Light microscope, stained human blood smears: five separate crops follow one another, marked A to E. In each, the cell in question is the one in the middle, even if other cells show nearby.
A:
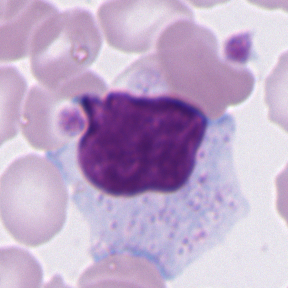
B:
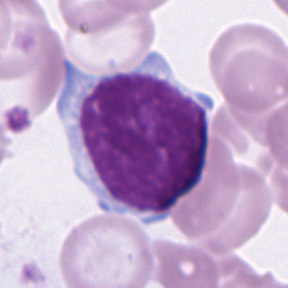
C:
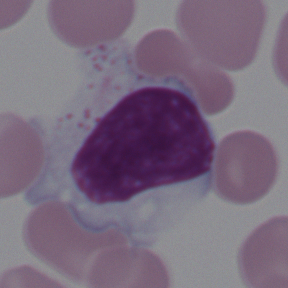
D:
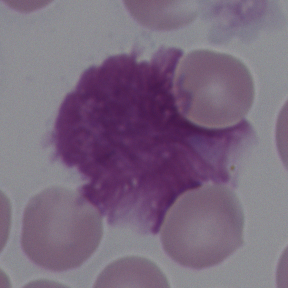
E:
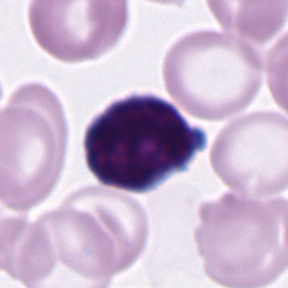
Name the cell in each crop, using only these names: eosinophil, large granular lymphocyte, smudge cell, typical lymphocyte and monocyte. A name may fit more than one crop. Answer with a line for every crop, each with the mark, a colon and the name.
A: large granular lymphocyte
B: typical lymphocyte
C: large granular lymphocyte
D: smudge cell
E: typical lymphocyte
